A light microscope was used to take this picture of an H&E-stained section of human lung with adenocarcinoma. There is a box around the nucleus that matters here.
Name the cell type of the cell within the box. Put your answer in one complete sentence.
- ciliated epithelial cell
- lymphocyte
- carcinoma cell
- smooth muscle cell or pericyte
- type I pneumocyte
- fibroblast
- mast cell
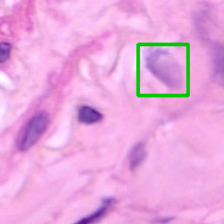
The classification of the cell within the box is as a fibroblast.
